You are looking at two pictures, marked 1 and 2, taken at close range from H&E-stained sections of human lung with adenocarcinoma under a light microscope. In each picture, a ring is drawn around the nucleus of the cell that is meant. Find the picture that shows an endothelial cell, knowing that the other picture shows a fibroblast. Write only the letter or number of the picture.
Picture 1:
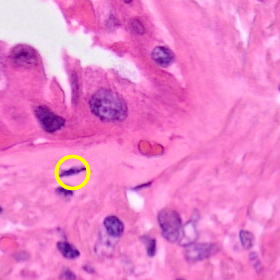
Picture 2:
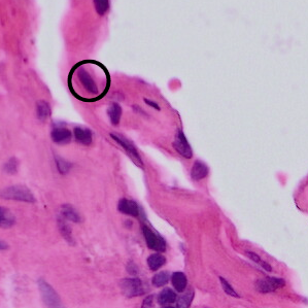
2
